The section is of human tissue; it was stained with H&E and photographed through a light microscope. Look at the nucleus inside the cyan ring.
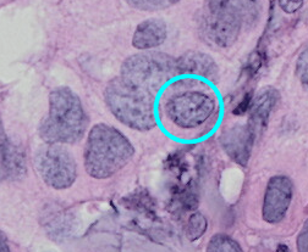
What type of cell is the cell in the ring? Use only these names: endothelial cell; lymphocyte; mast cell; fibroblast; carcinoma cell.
carcinoma cell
